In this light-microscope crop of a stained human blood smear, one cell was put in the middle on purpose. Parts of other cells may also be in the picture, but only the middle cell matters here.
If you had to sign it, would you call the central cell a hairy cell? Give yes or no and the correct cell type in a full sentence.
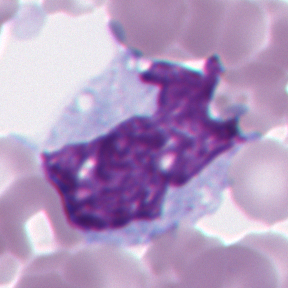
No, the central cell qualifies as a monocyte rather than as a hairy cell.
